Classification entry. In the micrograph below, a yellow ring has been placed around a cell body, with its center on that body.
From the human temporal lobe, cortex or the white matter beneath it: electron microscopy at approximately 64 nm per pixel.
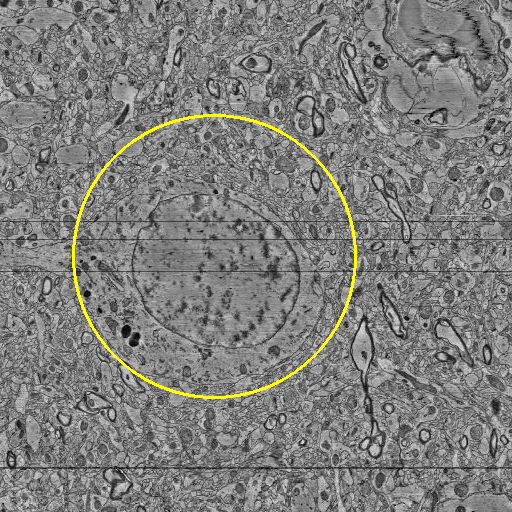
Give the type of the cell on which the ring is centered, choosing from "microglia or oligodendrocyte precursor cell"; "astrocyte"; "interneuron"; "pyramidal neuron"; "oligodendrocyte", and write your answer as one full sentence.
The cell body at the center of the yellow ring belongs to a pyramidal neuron.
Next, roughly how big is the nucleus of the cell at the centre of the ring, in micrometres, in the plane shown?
Roughly 11 micrometres across, measured in this plane.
